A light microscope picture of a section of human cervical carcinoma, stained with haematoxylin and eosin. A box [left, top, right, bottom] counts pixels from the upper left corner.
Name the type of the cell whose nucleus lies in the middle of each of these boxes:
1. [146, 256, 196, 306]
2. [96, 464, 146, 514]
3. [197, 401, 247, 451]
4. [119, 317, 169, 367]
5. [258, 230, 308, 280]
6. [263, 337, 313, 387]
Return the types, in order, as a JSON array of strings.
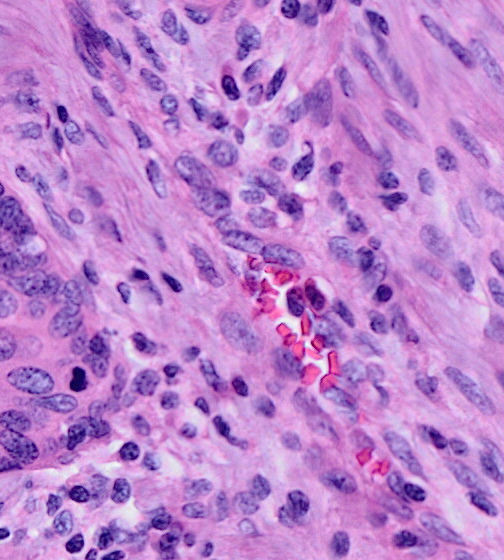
["lymphocyte", "lymphocyte", "lymphocyte", "lymphocyte", "endothelial cell", "endothelial cell"]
